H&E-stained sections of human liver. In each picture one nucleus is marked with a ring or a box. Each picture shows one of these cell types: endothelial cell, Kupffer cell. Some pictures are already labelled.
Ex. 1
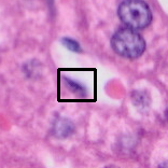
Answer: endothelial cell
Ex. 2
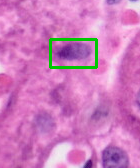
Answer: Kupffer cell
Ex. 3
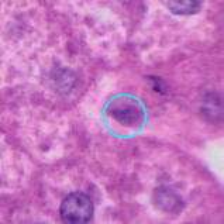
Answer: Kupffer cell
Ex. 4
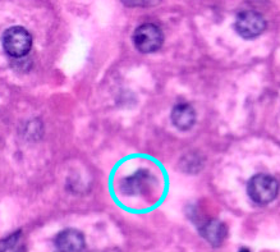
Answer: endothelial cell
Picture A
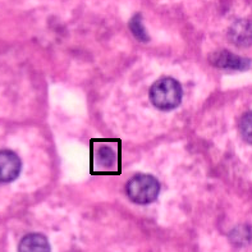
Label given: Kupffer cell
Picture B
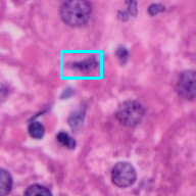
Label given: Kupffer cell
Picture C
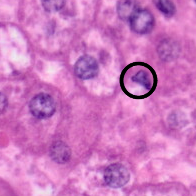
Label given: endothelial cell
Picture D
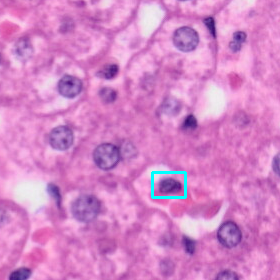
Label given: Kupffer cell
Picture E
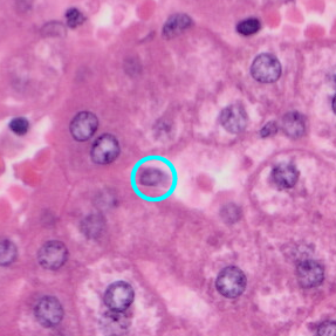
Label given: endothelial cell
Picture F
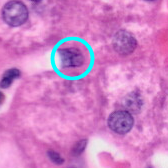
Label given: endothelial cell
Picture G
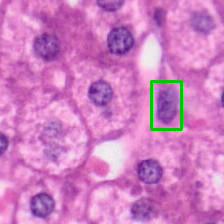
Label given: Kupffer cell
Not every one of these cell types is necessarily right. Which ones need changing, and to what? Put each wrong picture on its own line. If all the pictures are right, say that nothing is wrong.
Wrong: B (Kupffer cell); correct: endothelial cell
Wrong: E (endothelial cell); correct: Kupffer cell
